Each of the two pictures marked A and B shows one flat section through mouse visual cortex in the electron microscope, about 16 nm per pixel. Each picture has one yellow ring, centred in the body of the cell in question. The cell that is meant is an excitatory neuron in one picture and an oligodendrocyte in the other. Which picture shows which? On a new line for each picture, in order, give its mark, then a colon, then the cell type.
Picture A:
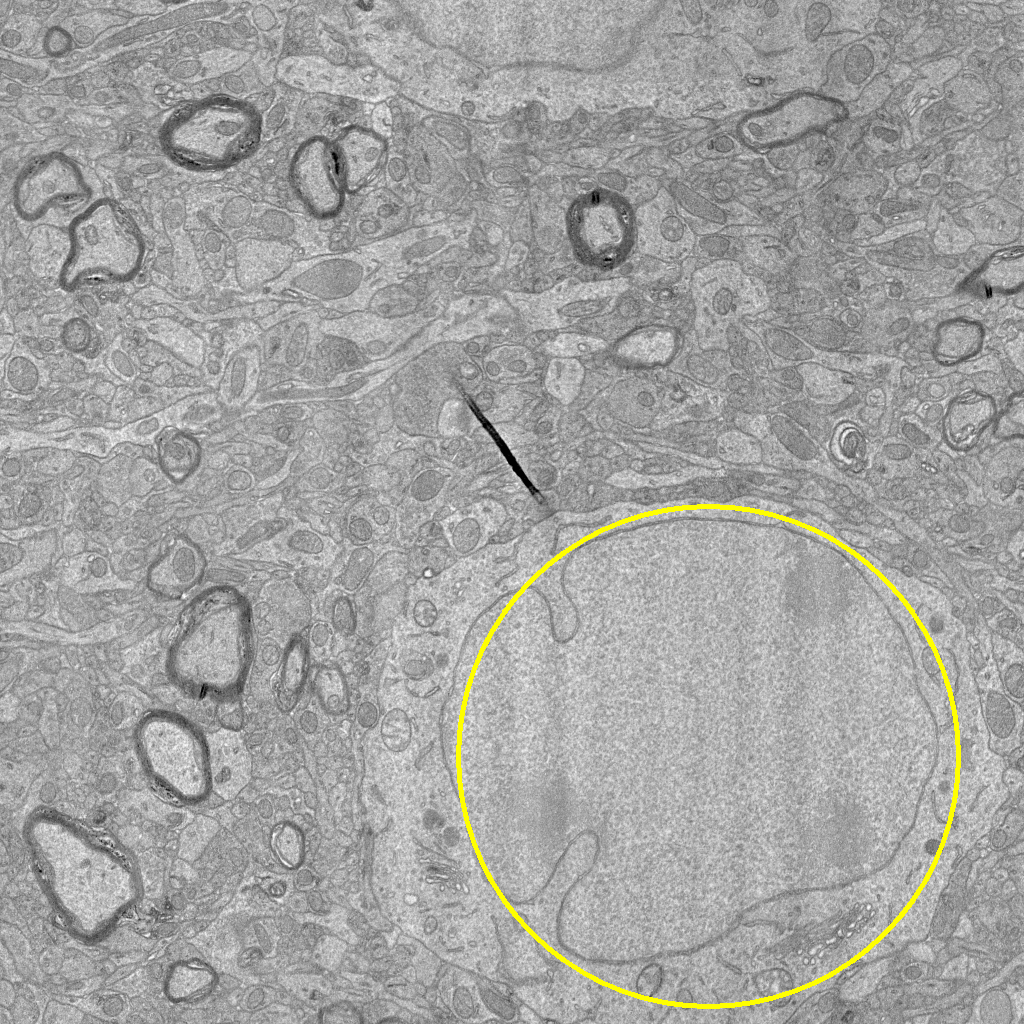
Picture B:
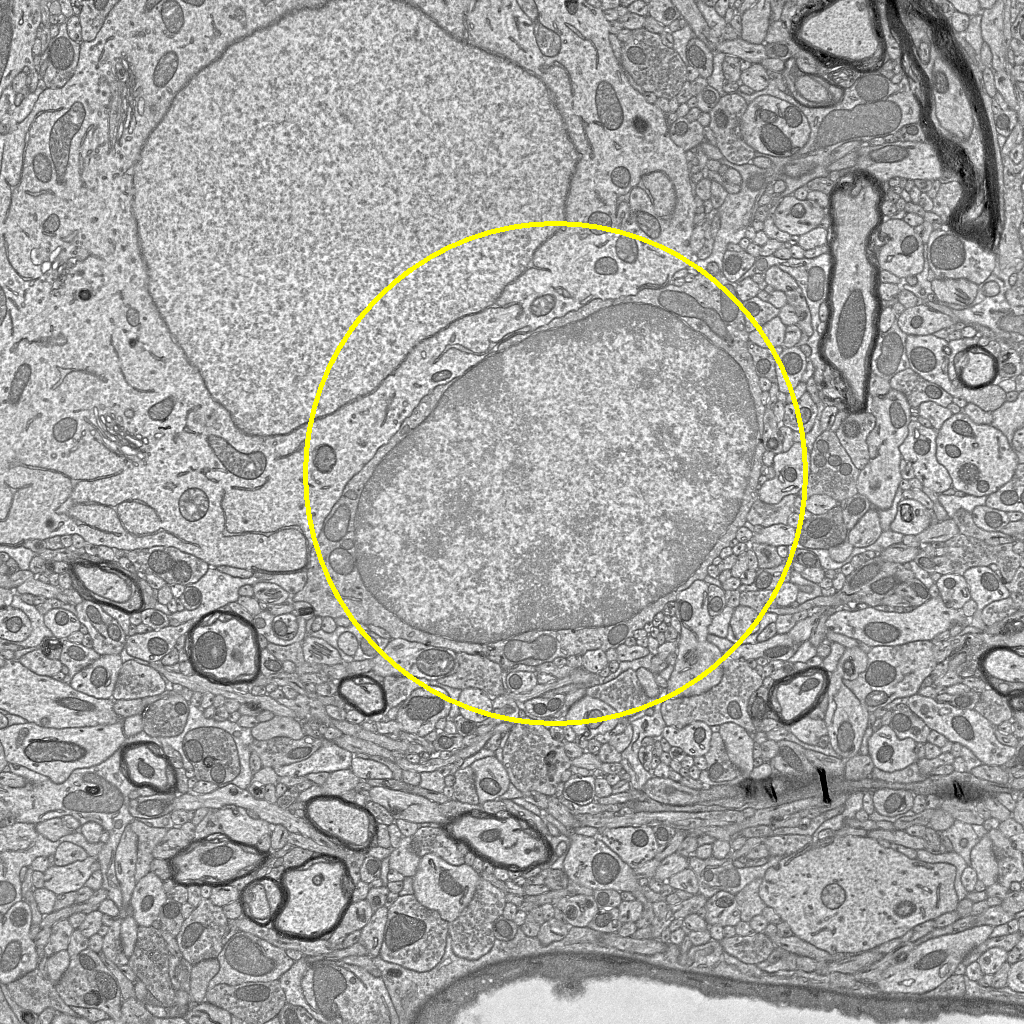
A: excitatory neuron
B: oligodendrocyte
